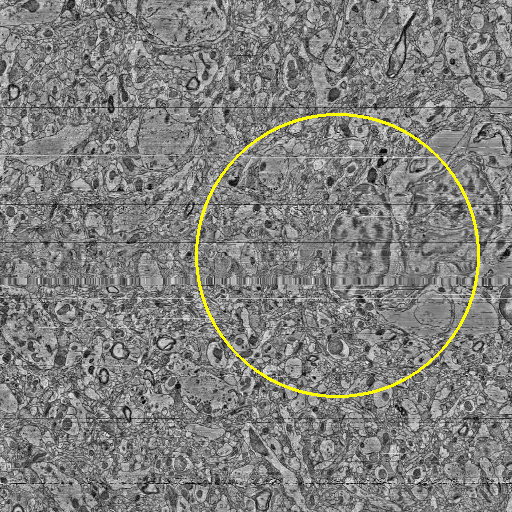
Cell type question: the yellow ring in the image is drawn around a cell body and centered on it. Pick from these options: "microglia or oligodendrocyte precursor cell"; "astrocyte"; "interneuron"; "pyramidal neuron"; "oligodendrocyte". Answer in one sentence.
The ringed cell at the center is a microglial cell or oligodendrocyte precursor cell.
